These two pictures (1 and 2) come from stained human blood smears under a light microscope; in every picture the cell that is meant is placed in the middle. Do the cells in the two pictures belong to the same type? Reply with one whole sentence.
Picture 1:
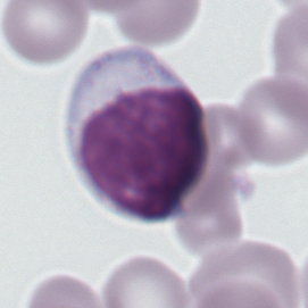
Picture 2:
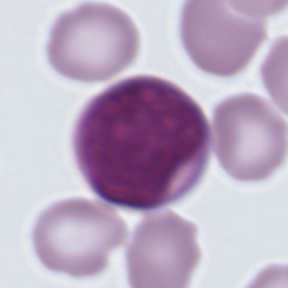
No; the cell in picture 1 is a large granular lymphocyte, while the one in picture 2 is a myeloblast.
